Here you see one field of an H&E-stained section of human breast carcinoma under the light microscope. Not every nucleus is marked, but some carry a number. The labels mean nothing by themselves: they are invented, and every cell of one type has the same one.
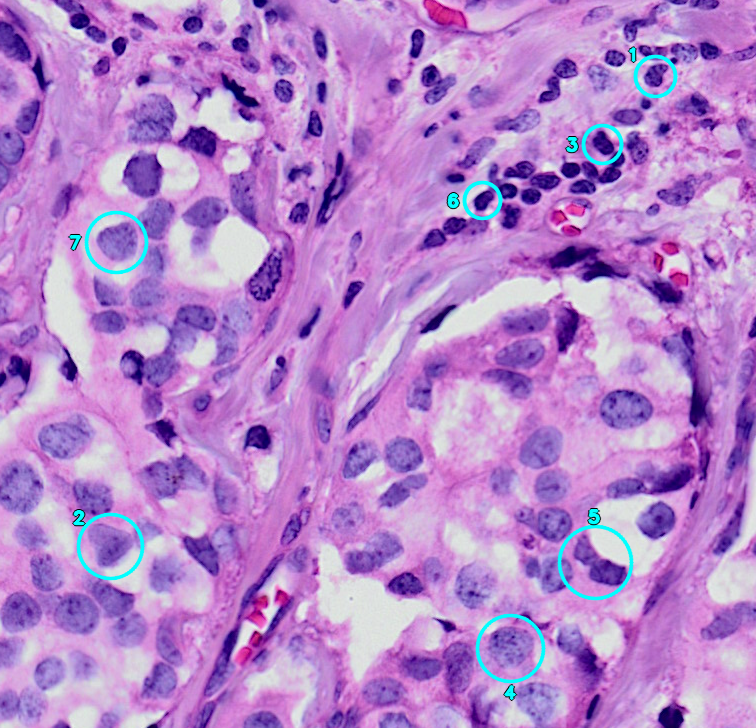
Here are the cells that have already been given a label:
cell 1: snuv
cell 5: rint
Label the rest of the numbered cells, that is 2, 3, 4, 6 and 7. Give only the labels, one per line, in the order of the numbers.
rint
snuv
rint
snuv
rint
